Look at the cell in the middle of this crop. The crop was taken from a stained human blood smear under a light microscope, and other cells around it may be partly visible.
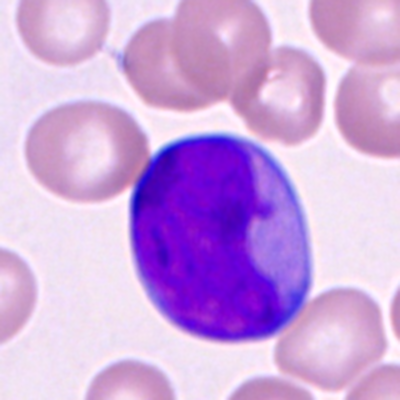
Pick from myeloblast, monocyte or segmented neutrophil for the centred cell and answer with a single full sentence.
The central cell shown in this smear crop is a myeloblast.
